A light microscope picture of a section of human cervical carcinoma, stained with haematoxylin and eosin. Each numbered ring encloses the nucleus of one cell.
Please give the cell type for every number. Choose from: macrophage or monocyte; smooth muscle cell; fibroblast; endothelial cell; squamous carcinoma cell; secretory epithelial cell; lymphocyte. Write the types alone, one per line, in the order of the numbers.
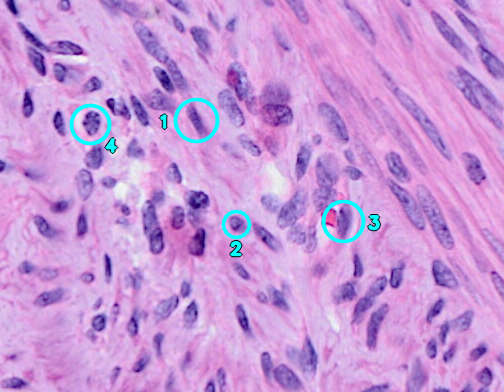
smooth muscle cell
smooth muscle cell
endothelial cell
lymphocyte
